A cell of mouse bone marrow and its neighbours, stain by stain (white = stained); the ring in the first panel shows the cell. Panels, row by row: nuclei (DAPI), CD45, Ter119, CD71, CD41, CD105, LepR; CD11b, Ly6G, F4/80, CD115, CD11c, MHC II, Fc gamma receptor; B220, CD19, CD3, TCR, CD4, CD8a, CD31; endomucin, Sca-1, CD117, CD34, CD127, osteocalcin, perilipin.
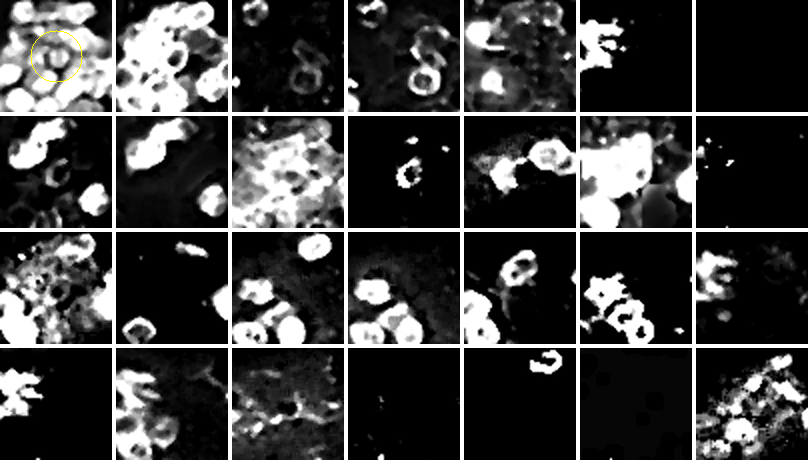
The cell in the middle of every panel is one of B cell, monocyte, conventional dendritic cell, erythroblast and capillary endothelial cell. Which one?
monocyte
